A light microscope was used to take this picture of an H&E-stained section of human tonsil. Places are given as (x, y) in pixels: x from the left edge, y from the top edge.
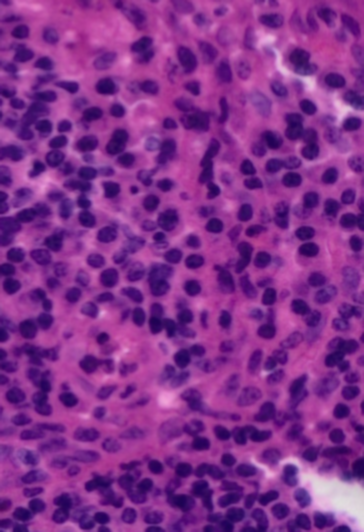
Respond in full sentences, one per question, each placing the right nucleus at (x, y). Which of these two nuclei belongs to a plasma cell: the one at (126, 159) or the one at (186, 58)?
Lying within a plasma cell is the nucleus at (126, 159).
